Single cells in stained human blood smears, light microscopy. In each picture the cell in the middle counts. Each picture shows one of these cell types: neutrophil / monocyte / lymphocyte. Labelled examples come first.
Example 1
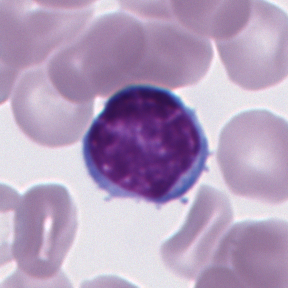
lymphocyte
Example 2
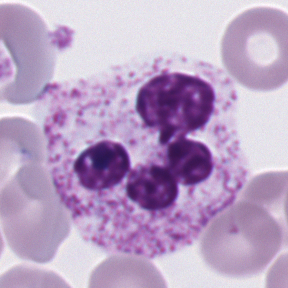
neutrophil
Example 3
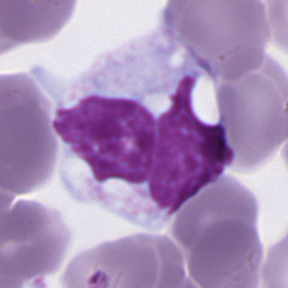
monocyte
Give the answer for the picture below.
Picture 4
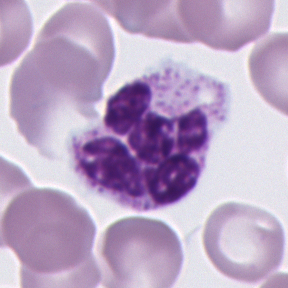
neutrophil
